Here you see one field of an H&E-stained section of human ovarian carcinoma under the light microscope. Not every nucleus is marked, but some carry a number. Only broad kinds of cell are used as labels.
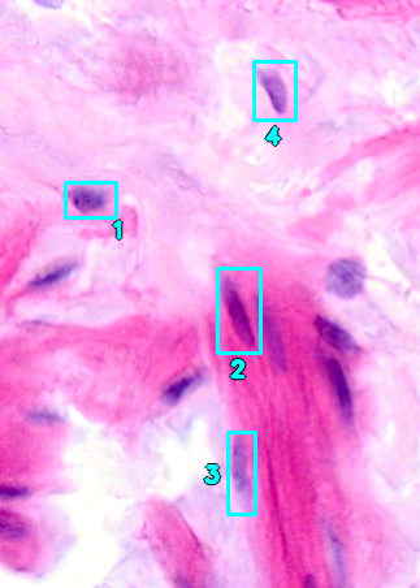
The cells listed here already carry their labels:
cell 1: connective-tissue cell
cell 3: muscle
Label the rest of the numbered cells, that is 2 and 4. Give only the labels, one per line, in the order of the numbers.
muscle
connective-tissue cell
